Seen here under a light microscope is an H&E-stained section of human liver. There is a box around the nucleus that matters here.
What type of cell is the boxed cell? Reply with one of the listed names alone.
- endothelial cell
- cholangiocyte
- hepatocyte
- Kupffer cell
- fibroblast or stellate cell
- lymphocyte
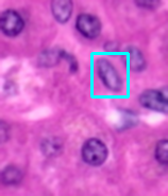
cholangiocyte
